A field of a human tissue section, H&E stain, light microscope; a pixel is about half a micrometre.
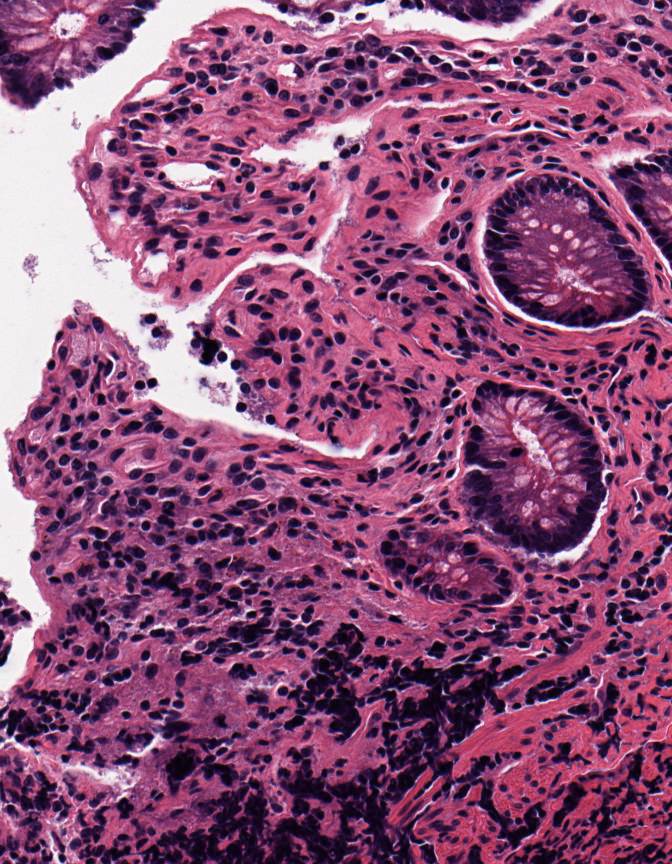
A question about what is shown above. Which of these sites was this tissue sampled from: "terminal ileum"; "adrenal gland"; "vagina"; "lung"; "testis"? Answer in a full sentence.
The site this tissue was sampled from is the terminal ileum.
